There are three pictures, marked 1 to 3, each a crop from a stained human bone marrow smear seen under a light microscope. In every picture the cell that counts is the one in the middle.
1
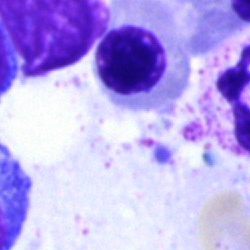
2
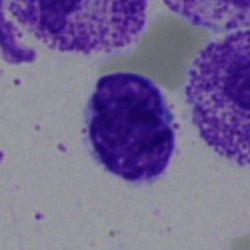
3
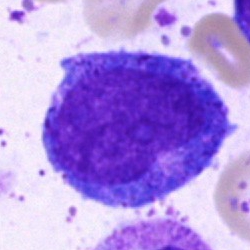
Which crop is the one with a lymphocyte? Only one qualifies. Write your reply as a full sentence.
Of the crops given, a lymphocyte is found in crop 2.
